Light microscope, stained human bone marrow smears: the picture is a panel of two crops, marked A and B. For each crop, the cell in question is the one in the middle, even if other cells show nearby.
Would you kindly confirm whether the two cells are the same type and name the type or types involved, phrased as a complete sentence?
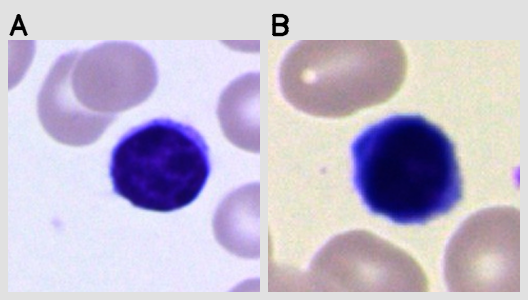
Yes, both of the crops show lymphocytes.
